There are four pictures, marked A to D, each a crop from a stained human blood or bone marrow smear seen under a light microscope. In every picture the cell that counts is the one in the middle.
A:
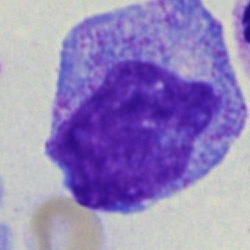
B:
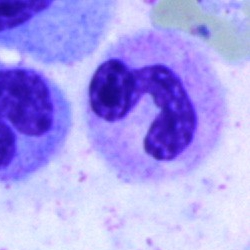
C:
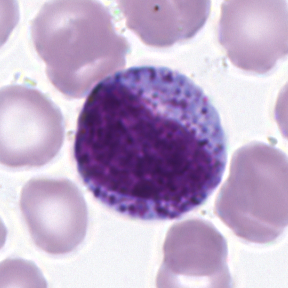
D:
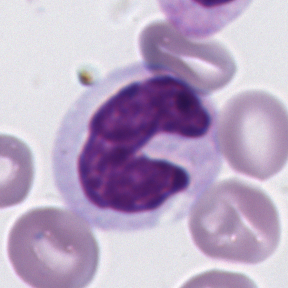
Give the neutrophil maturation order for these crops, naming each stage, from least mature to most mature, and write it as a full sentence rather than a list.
From least to most mature, the order is crop A (a promyelocyte), crop C (a myelocyte), crop D (a band neutrophil) and crop B (a segmented neutrophil).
